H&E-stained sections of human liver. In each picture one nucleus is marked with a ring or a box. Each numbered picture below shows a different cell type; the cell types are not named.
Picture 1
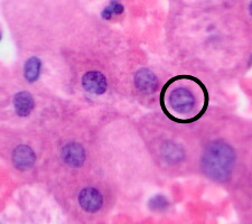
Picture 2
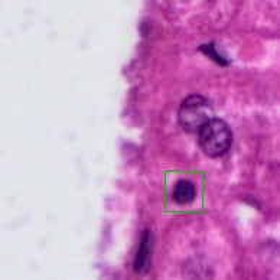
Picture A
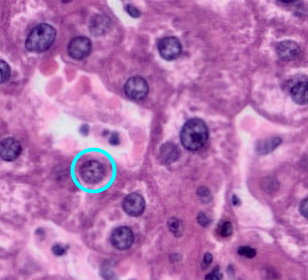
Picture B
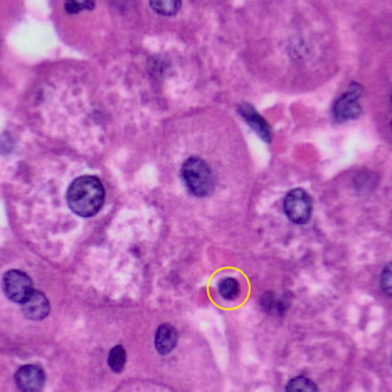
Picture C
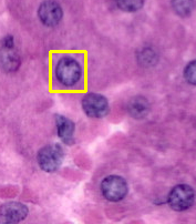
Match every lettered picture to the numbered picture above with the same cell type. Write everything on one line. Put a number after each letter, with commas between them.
A 1, B 2, C 1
